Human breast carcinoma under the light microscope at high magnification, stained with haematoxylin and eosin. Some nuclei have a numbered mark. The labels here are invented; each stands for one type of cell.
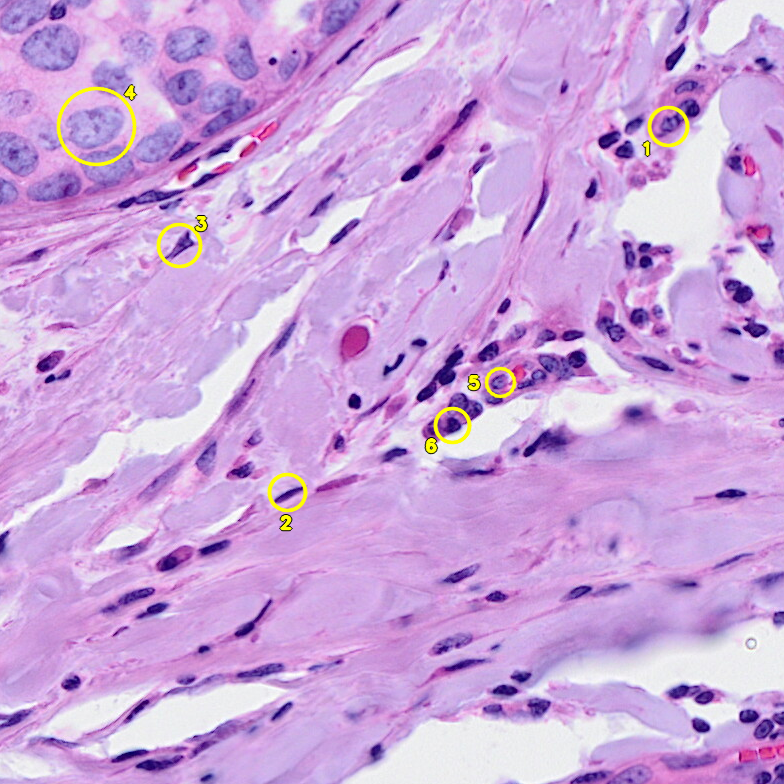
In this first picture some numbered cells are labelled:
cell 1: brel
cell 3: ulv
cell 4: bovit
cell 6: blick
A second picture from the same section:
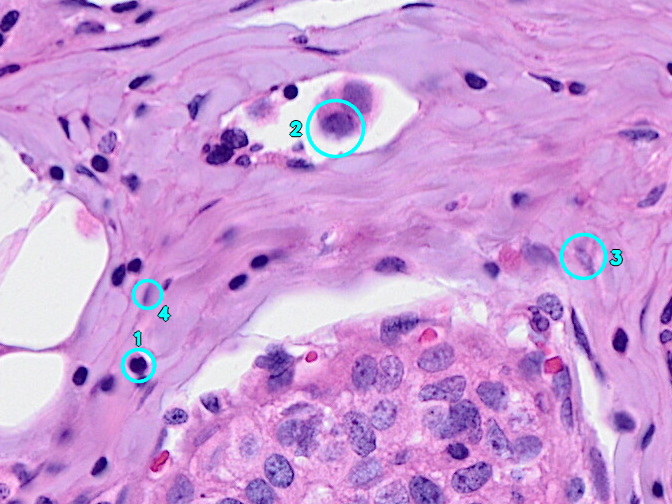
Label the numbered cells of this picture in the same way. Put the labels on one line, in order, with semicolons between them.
blick; bovit; ulv; ulv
